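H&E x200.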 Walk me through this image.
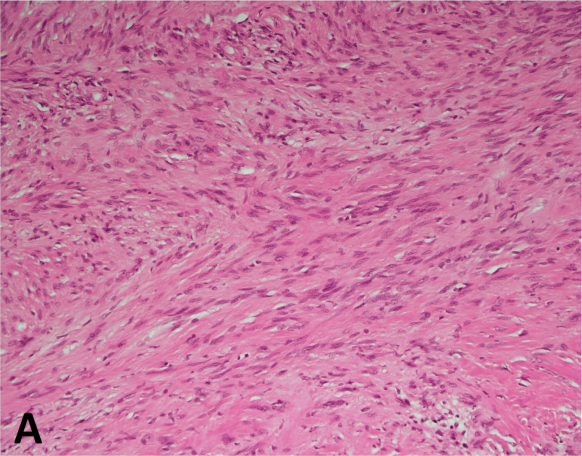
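The cells have elongated, tapered and often wavy dark purple nuclei with scant, ill-defined pink cytoplasm. They run in interlacing, streaming fascicles that change direction across the field. Pink collagenous matrix lies between the nuclei, with scattered small clear spaces.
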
